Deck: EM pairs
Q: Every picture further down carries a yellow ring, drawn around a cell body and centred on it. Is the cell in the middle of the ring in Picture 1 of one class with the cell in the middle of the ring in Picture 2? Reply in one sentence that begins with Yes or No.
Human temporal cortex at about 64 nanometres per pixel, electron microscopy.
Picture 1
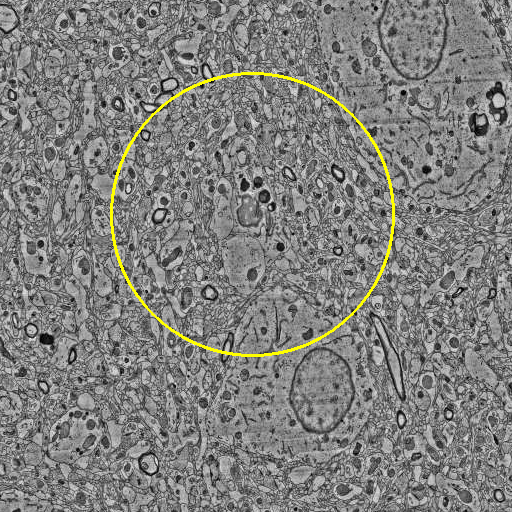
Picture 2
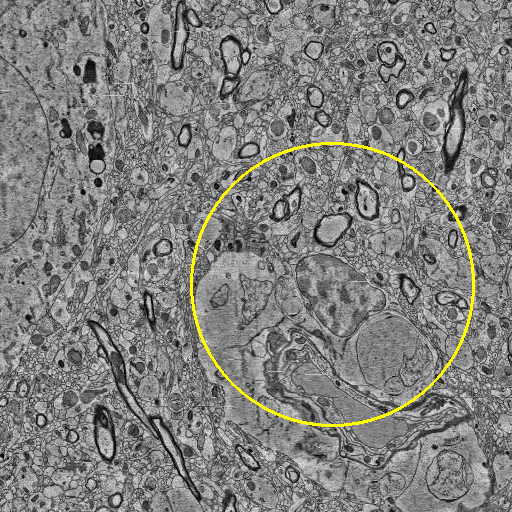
Yes, the cell centred in the ring of Picture 1 and the one in Picture 2 belong to one class.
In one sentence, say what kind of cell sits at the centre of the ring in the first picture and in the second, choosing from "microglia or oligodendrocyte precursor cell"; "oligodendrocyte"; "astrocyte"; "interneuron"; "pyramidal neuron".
In the first picture and in the second, the ring is centred on a microglial cell or oligodendrocyte precursor cell.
